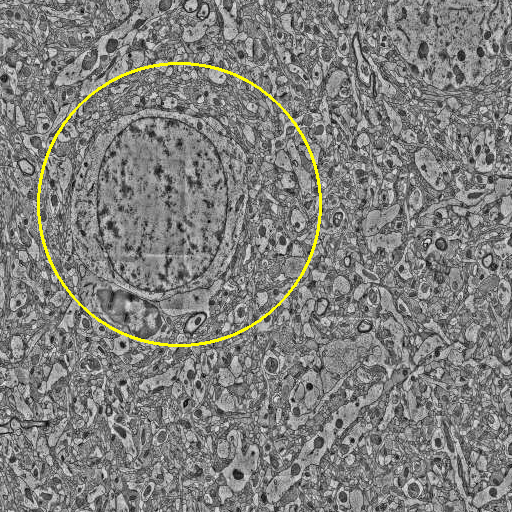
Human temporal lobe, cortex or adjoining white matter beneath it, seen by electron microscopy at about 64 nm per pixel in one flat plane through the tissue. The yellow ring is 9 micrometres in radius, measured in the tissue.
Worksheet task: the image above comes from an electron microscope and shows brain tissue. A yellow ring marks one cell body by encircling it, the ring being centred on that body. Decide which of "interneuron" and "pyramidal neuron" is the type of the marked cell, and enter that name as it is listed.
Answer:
pyramidal neuron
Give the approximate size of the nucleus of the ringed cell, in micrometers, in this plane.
About 11 by 9 micrometres in this plane.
